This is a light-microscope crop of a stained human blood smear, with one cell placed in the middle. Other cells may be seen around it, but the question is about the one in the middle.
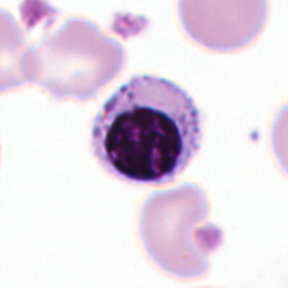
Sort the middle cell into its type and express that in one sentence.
This particular crop is centered on an erythroblast.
